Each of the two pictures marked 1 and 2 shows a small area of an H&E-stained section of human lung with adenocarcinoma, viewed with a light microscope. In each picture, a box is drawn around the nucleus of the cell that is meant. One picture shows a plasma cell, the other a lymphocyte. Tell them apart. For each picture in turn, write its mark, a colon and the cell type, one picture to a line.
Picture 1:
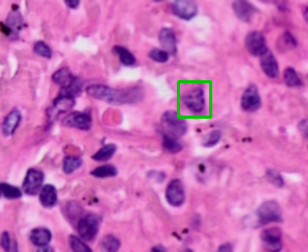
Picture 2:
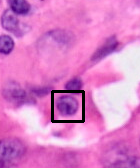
1: plasma cell
2: lymphocyte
